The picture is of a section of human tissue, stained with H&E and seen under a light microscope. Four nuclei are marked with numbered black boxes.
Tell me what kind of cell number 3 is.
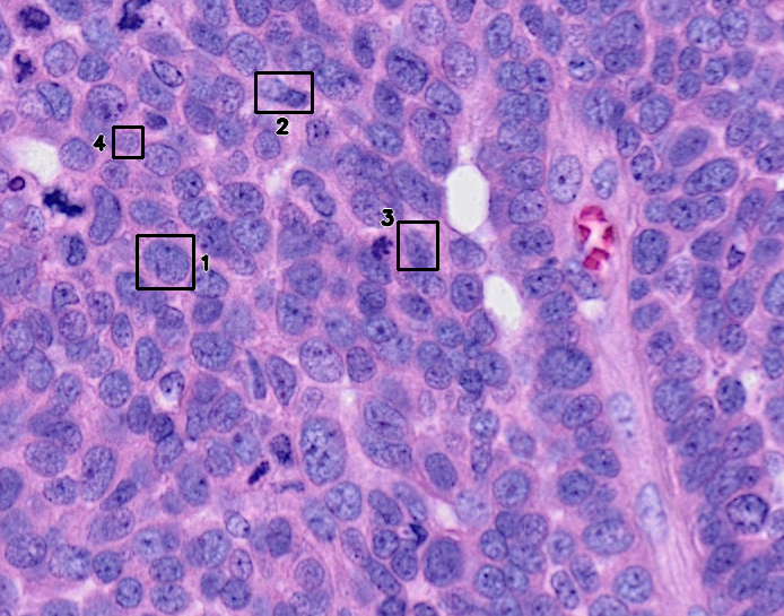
carcinoma cell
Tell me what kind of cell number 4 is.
carcinoma cell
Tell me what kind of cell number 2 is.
macrophage or monocyte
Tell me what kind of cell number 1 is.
carcinoma cell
